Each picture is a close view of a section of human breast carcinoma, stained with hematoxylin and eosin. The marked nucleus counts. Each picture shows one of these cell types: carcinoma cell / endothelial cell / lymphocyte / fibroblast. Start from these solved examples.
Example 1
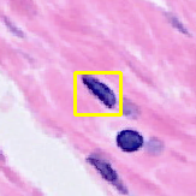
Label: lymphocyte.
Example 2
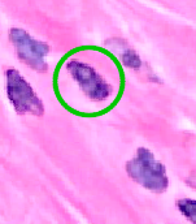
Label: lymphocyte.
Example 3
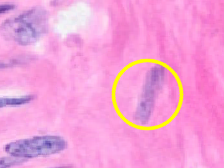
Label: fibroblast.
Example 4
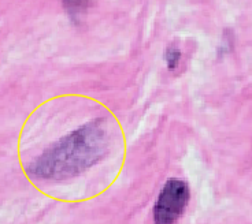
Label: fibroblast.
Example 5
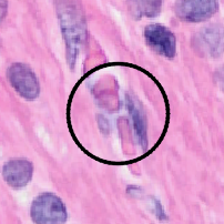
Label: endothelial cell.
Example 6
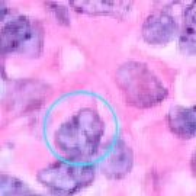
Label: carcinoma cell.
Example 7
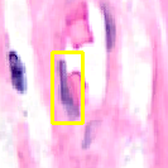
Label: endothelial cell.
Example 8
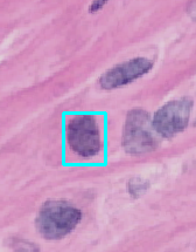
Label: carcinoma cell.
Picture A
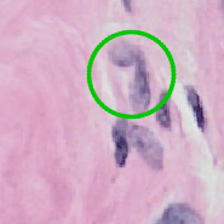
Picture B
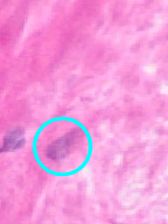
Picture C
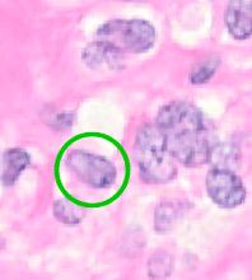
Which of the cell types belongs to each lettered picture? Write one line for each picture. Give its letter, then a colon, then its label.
A: endothelial cell.
B: fibroblast.
C: carcinoma cell.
